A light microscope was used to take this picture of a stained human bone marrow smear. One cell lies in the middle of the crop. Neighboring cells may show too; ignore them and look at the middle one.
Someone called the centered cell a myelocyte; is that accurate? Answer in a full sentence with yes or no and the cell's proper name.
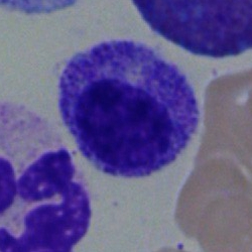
Yes, the cell at the heart of the crop is a myelocyte.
